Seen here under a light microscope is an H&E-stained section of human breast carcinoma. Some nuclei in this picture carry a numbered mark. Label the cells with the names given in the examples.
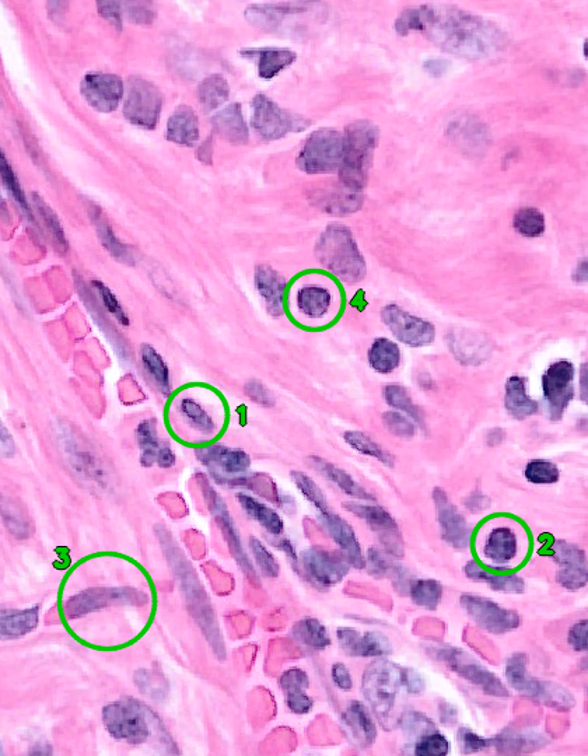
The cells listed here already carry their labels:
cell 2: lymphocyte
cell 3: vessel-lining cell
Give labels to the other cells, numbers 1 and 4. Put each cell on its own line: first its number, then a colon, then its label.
1: vessel-lining cell
4: lymphocyte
